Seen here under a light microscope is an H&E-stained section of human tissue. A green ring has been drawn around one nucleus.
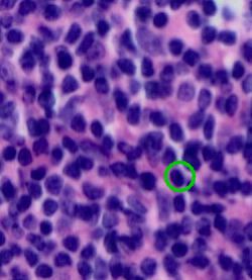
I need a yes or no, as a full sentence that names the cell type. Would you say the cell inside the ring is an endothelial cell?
No, the cell inside the ring is correctly named a small lymphocyte; it is not an endothelial cell.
